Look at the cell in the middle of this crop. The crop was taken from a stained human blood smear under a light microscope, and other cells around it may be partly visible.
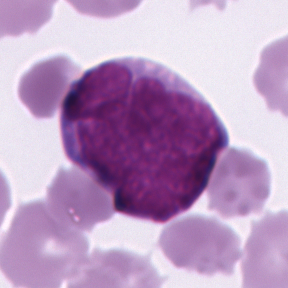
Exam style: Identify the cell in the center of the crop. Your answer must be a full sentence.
The cell positioned in the middle of the field is a myeloblast.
